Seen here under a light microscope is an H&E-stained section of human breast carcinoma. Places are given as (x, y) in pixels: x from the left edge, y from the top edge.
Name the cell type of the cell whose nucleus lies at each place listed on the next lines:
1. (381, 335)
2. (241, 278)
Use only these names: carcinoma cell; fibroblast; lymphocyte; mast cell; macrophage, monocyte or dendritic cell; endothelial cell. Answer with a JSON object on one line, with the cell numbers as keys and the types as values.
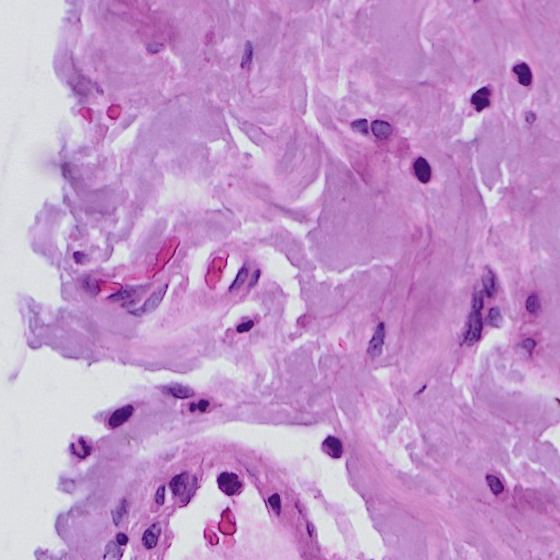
{"1": "fibroblast", "2": "endothelial cell"}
